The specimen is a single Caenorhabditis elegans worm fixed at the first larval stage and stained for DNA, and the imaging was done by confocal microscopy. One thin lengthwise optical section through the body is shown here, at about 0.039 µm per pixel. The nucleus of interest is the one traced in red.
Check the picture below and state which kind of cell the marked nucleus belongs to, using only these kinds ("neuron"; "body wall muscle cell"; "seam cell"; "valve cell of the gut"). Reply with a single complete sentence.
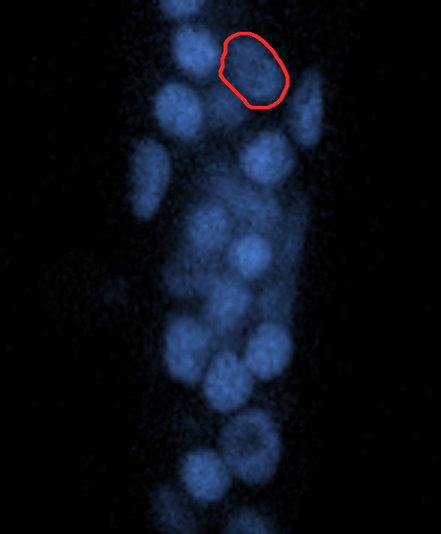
It belongs to a valve cell of the gut.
